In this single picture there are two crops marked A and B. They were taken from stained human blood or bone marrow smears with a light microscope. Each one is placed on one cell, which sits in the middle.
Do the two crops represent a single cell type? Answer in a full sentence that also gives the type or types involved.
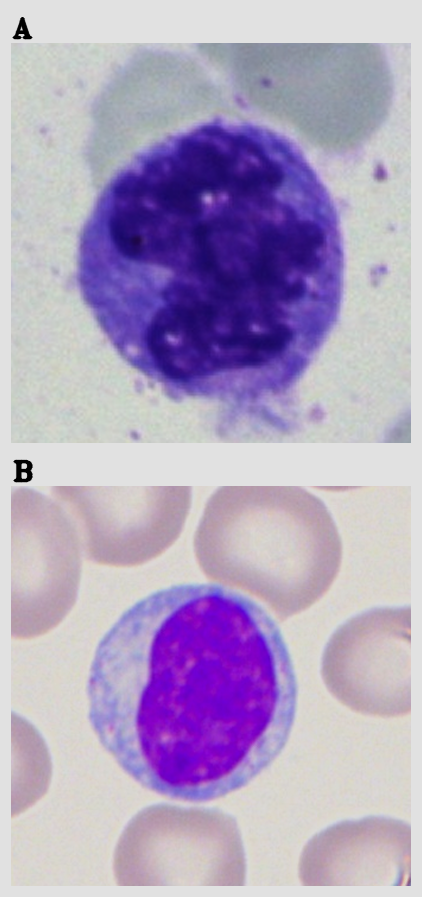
No, a lymphocyte is the cell of crop B, while a monocyte is the cell of crop A.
